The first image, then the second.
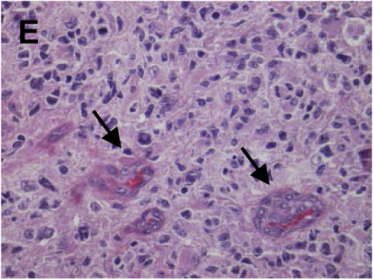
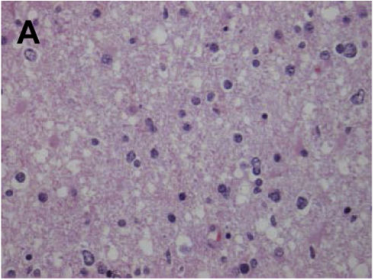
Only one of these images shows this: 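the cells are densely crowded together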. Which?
The first image.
